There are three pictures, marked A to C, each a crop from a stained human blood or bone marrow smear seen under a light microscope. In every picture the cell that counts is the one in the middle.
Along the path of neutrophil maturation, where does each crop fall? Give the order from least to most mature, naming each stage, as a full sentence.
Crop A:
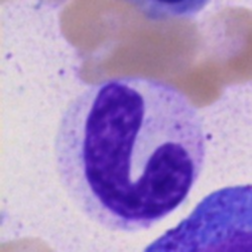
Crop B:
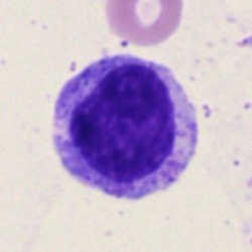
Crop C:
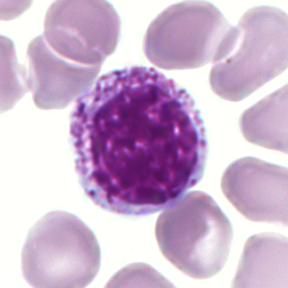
The crops, ordered from least to most mature, are crop B (a myelocyte), crop C (a metamyelocyte) and crop A (a band neutrophil).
